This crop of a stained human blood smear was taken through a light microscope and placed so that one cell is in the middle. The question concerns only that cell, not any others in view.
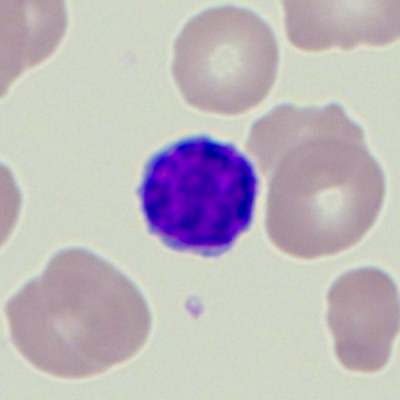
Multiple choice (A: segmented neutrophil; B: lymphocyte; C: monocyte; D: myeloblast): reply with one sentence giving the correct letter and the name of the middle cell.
Given that the cell in the middle is a lymphocyte, option B is correct.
